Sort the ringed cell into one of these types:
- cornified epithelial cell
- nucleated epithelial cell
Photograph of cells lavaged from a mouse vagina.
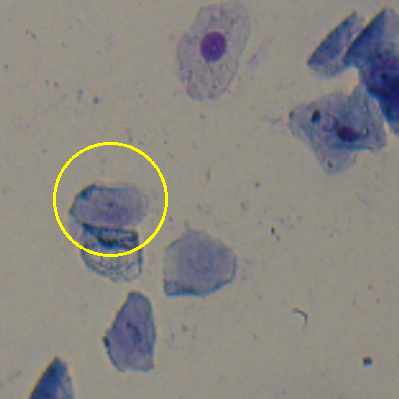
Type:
cornified epithelial cell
